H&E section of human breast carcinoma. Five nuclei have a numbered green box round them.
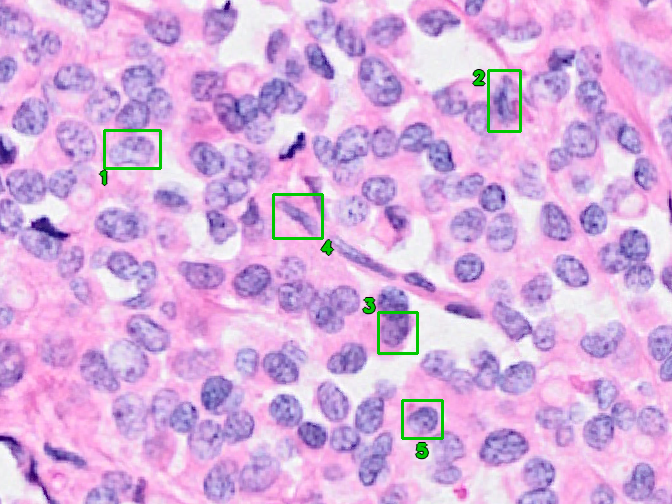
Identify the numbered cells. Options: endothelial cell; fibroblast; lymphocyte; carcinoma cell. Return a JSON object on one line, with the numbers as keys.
{"1": "carcinoma cell", "2": "endothelial cell", "3": "carcinoma cell", "4": "endothelial cell", "5": "carcinoma cell"}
